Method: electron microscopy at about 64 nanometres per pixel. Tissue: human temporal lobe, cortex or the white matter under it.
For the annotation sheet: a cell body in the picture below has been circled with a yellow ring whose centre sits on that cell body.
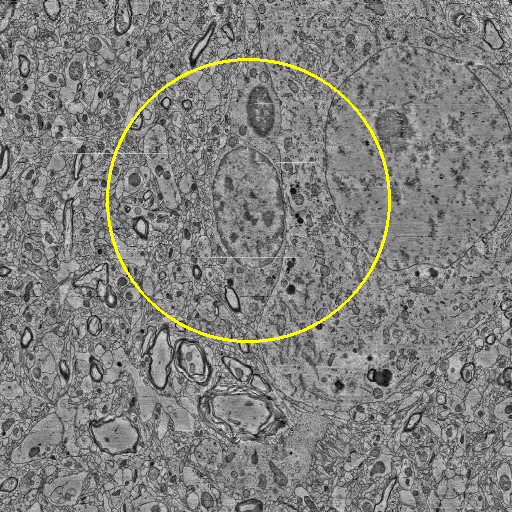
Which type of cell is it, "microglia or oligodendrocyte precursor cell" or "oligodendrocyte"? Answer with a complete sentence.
The circled cell is an oligodendrocyte.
